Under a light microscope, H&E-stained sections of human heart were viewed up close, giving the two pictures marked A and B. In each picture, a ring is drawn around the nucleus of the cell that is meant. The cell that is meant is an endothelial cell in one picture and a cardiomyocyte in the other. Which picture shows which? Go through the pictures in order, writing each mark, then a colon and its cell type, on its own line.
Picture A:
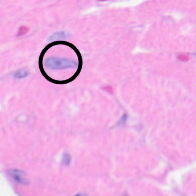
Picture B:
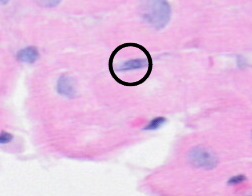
A: cardiomyocyte
B: endothelial cell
